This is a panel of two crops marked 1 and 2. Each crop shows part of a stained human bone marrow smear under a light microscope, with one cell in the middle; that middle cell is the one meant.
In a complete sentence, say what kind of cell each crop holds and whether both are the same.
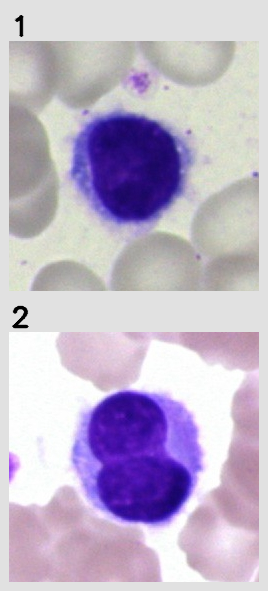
Yes, the two crops show hairy cells, one cell each.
